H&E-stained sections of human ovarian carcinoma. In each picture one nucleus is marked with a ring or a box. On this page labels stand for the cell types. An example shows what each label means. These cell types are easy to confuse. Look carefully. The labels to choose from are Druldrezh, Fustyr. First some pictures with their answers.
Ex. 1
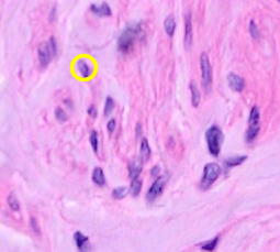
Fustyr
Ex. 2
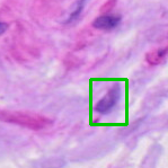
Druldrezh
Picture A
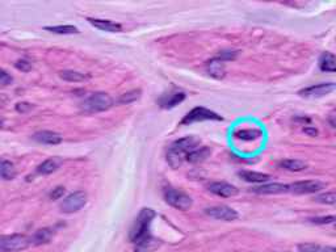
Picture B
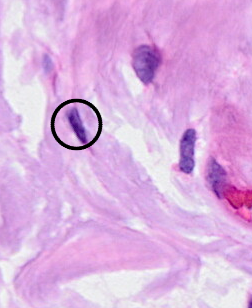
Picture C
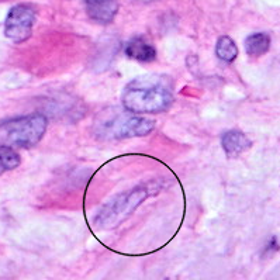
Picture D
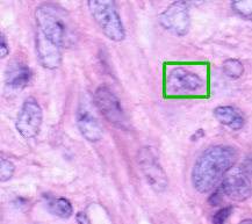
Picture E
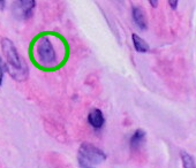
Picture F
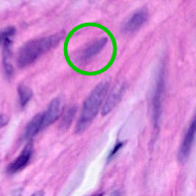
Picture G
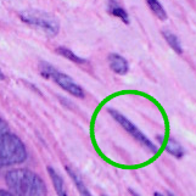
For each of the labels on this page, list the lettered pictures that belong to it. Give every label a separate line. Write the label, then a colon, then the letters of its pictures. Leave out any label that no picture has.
Druldrezh: B, C, D, G
Fustyr: A, E, F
